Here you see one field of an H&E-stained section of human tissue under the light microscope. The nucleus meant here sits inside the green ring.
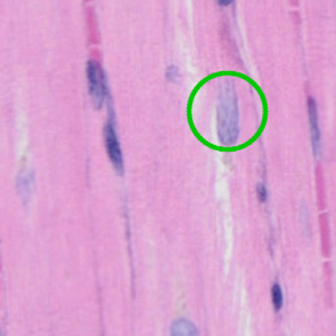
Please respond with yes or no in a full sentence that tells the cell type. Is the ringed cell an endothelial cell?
No, the ringed cell represents a cardiomyocyte and does not represent an endothelial cell.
